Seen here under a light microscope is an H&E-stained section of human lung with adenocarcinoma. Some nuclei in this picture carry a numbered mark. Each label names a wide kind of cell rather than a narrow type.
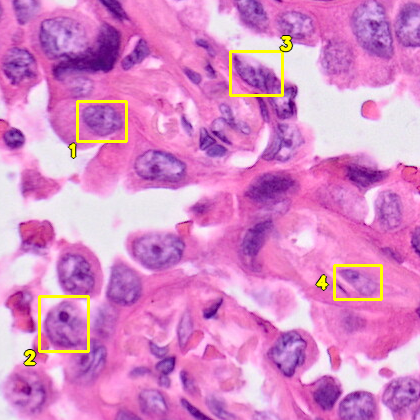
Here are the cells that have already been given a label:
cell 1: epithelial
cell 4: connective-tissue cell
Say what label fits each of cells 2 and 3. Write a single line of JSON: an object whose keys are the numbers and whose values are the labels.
{"2": "epithelial", "3": "epithelial"}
